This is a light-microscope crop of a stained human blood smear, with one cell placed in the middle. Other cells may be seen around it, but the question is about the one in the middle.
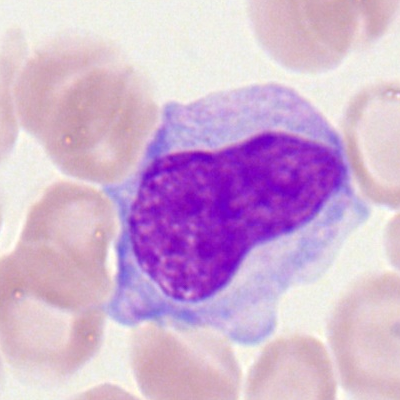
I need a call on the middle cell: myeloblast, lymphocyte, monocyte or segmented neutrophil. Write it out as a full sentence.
On this slide crop, the central cell is a monocyte.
